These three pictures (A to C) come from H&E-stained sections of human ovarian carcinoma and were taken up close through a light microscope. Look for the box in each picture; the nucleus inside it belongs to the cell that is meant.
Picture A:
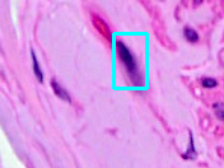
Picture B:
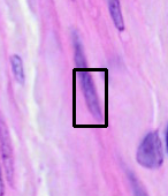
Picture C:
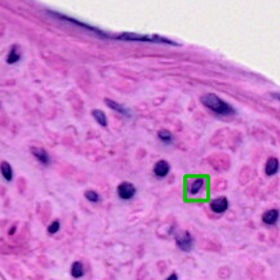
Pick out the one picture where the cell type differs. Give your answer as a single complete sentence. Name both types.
The others show smooth muscle cells, but picture A shows an endothelial cell.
